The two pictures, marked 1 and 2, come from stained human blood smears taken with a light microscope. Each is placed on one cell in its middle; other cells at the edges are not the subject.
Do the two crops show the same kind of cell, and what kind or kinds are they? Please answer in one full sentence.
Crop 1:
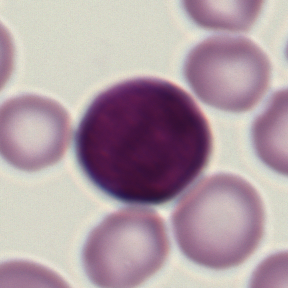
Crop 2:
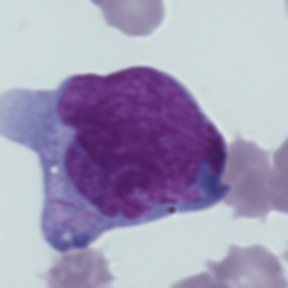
Yes, the cells in both crops are blasts.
